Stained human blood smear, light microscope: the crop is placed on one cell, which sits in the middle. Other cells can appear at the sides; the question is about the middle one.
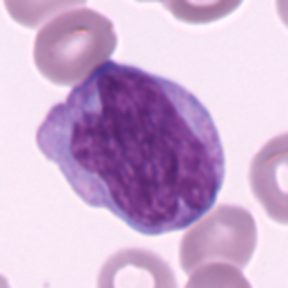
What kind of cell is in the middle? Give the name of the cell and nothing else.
atypical promyelocyte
